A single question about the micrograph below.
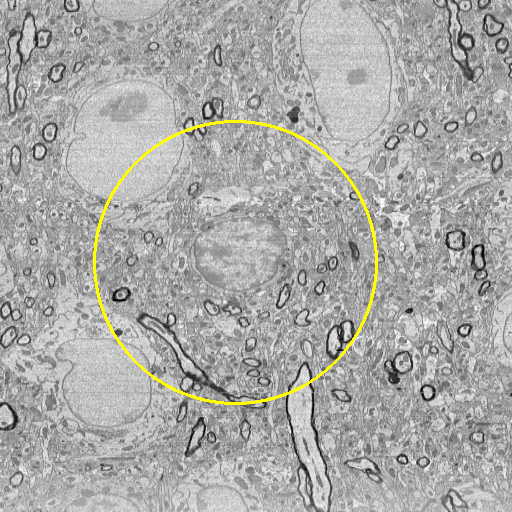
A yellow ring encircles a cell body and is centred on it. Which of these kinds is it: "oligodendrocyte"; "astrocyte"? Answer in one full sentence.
The cell body at the centre of the yellow ring belongs to an oligodendrocyte.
